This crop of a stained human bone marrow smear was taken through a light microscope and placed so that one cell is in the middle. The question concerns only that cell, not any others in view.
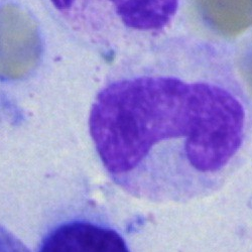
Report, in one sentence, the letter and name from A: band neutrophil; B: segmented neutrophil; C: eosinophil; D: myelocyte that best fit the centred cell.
Option A correctly states that the central cell is a band neutrophil.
